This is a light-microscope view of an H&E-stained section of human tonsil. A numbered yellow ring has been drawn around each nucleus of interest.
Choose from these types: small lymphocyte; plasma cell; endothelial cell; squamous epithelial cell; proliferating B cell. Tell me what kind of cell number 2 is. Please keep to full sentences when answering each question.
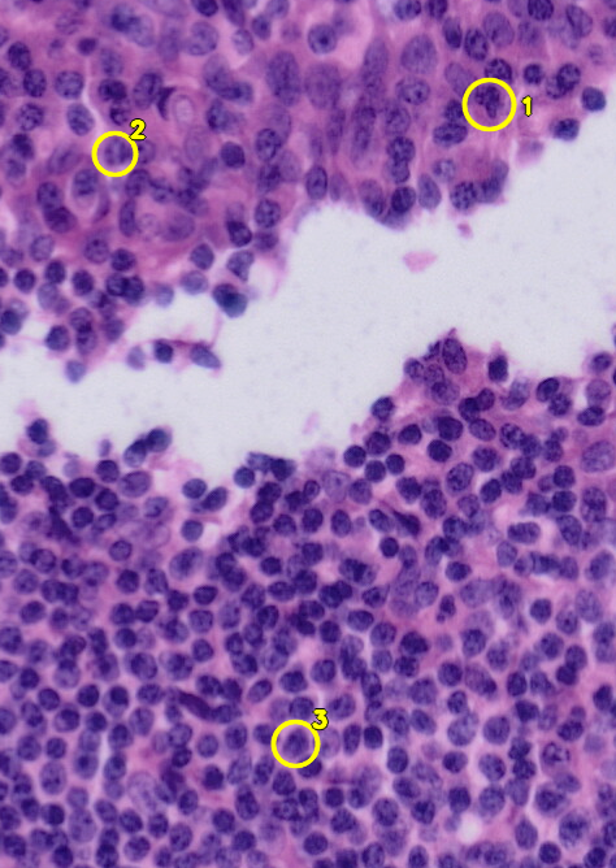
The cell numbered 2 represents a plasma cell.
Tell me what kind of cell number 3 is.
The cell pointed out by number 3 is a small lymphocyte.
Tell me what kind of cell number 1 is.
Identified as a plasma cell is the cell bearing the number 1.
